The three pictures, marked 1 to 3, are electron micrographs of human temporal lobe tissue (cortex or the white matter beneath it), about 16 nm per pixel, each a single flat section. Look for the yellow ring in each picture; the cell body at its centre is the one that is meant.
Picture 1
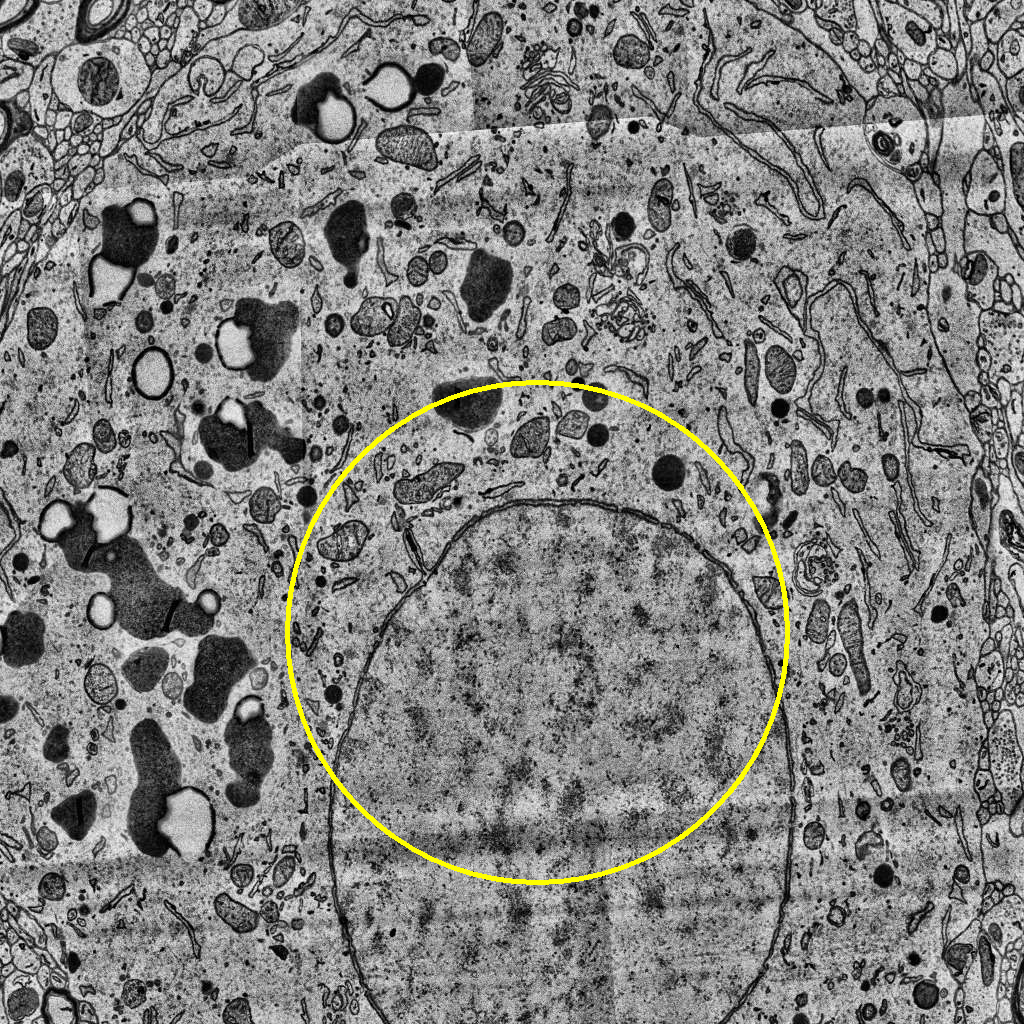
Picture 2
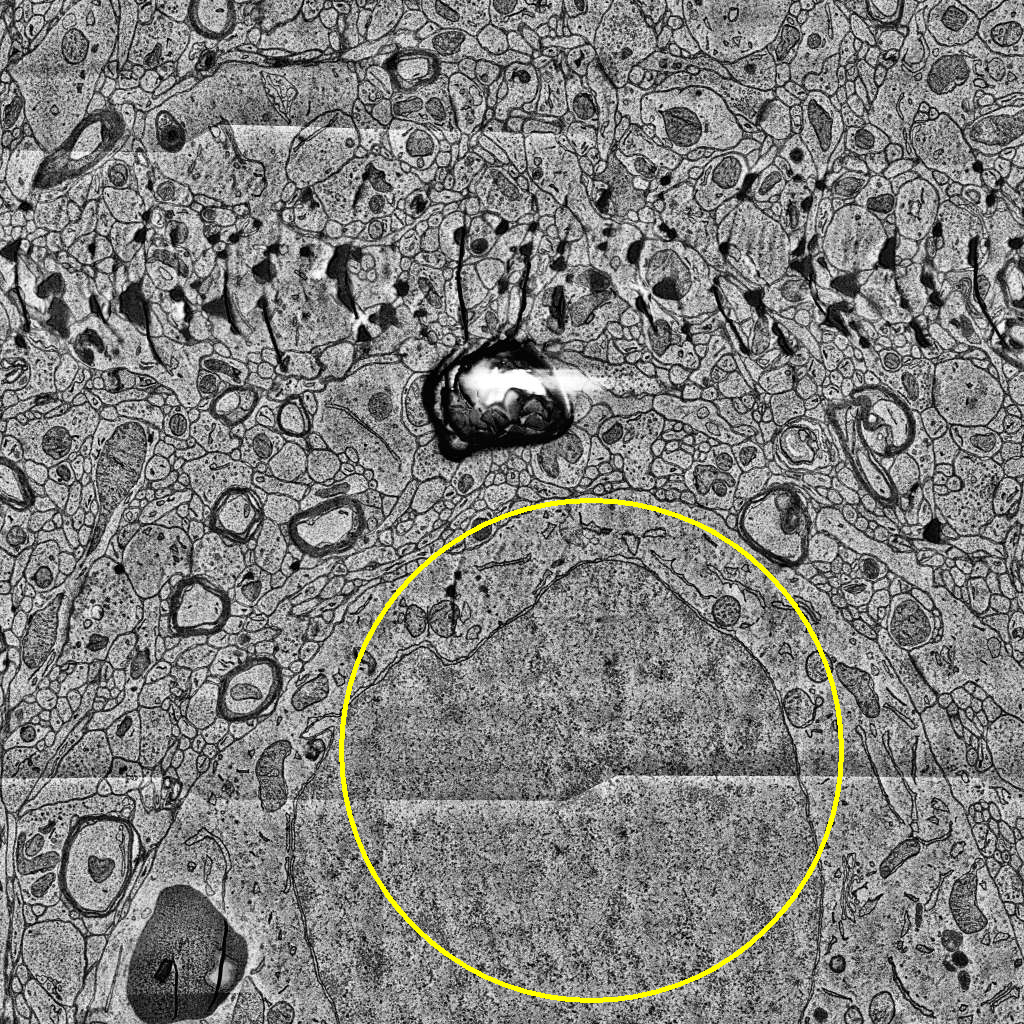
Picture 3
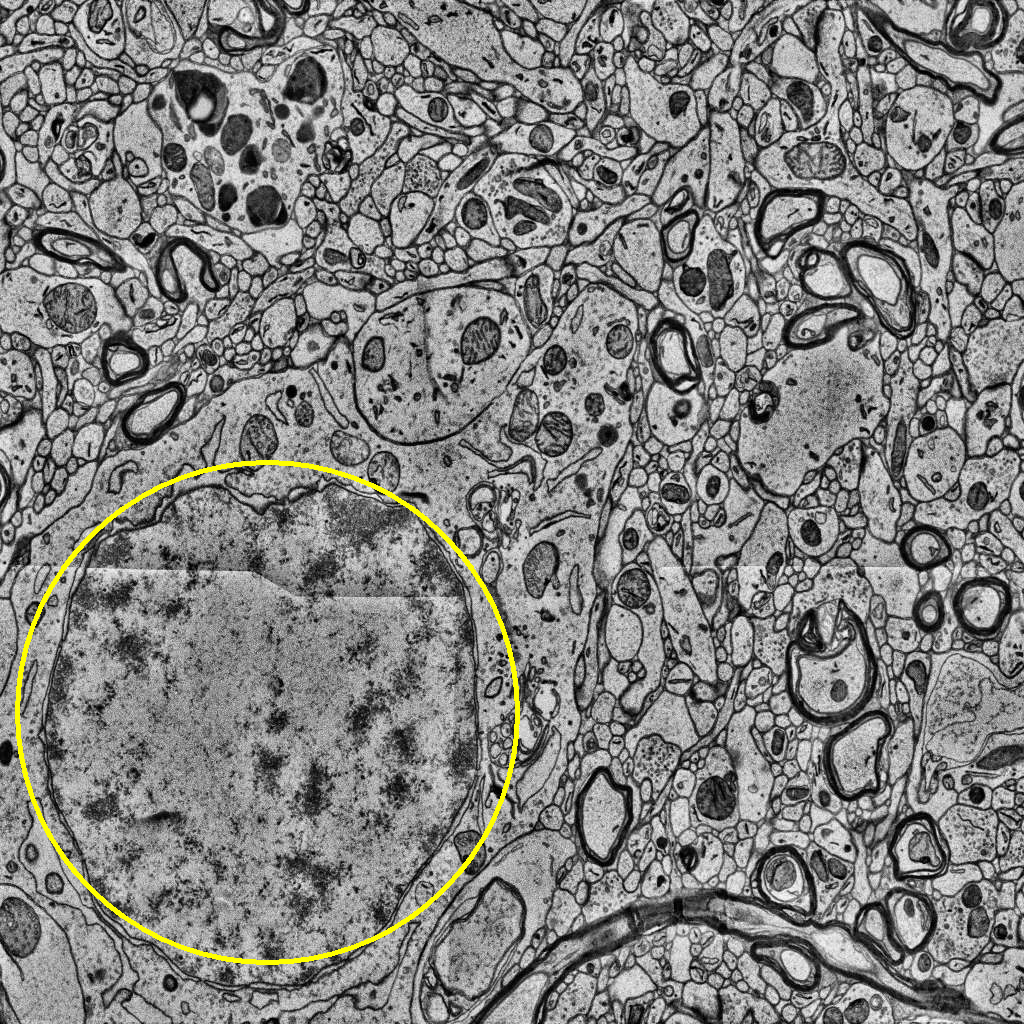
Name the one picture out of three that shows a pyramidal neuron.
Picture 1 shows the pyramidal neuron.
